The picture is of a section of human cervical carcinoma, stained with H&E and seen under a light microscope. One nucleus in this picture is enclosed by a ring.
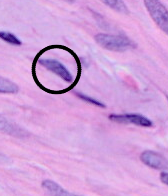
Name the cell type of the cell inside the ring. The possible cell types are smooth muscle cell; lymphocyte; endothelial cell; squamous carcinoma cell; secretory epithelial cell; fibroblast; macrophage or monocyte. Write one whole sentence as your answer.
The cell inside the ring is a fibroblast.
